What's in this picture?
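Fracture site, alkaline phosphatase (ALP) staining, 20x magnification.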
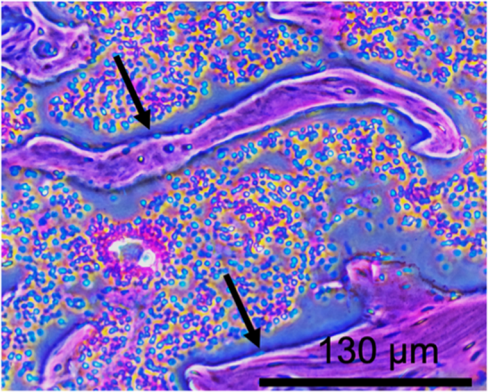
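Long pink trabeculae of bone cross the field, one running diagonally through the upper half and another along the lower right. Between them lies tissue crowded with small round cells. The cells of interest sit along the surfaces of the trabeculae, where the bone borders the cellular tissue.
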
